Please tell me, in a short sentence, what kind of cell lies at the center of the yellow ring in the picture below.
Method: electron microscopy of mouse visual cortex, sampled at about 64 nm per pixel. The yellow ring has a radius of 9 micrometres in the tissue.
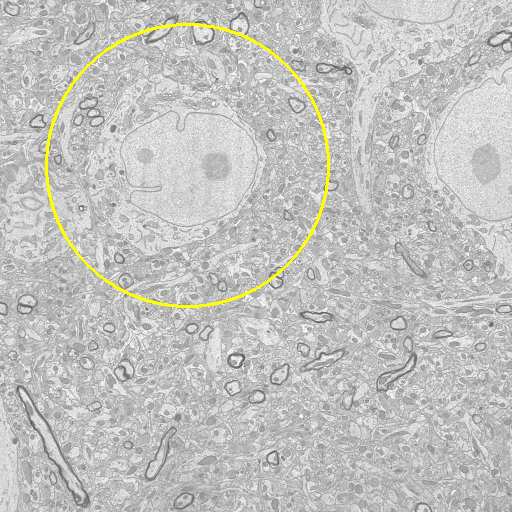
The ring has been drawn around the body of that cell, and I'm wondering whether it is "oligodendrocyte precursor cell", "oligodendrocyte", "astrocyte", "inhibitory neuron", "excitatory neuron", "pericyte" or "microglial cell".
The cell at the center of the ring is an excitatory neuron.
